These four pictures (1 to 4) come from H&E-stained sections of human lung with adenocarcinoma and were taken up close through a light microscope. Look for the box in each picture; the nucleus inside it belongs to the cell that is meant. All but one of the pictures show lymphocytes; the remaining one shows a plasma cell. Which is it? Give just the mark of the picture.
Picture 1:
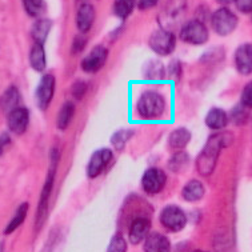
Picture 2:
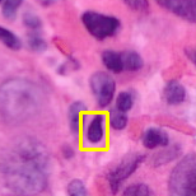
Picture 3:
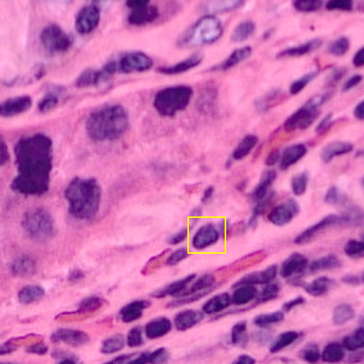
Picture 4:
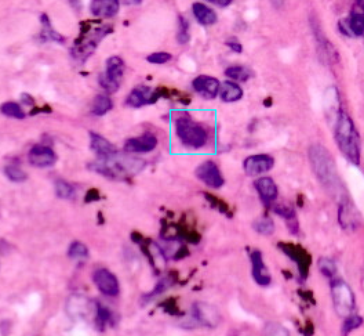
4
